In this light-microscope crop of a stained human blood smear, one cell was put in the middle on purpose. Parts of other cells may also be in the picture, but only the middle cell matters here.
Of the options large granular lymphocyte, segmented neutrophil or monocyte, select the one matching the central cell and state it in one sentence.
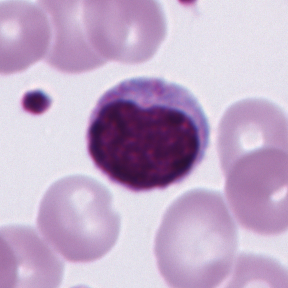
This crop is built around a large granular lymphocyte at its centre.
